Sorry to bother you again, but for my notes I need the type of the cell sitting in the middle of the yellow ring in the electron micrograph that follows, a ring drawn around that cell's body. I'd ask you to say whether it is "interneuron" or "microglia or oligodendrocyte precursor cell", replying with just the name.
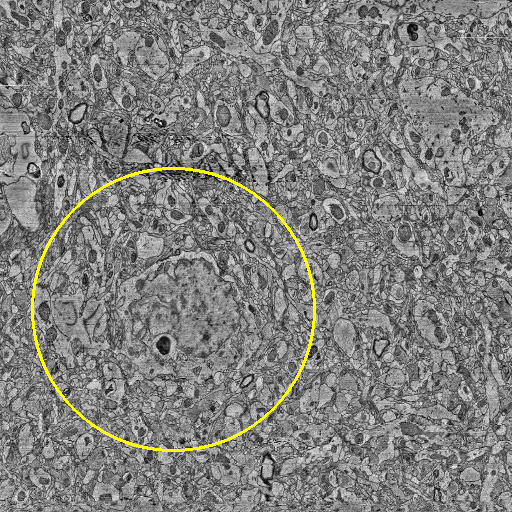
interneuron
